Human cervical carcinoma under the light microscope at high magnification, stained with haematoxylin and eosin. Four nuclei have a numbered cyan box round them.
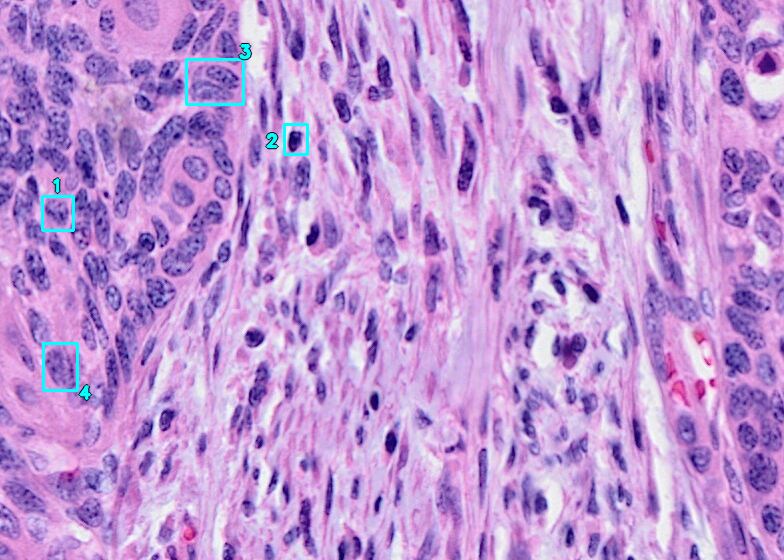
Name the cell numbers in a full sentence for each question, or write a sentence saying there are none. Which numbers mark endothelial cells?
The cells whose nuclei carry numbers are not endothelial cells.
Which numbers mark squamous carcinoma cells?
The cells numbered 1, 3 and 4 are typed as squamous carcinoma cells.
